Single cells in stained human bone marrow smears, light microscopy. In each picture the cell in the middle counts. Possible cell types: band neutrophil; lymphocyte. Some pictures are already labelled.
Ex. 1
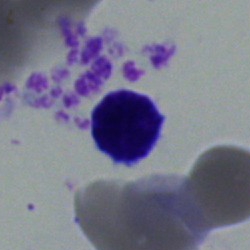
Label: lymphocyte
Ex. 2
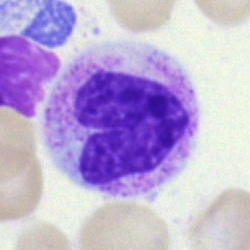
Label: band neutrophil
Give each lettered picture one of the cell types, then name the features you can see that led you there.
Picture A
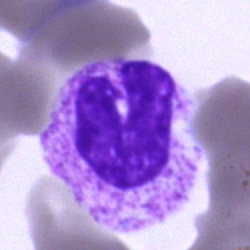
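Answer: band neutrophil. Purple granules are scattered throughout the cytoplasm.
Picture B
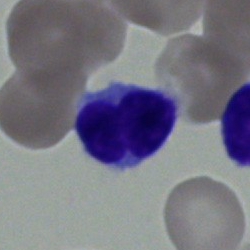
Answer: lymphocyte. The cytoplasm forms only a scant rim around the nucleus.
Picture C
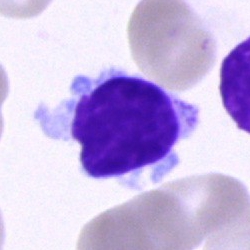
Answer: lymphocyte. The nucleus fills most of the cell, leaving scant cytoplasm.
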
